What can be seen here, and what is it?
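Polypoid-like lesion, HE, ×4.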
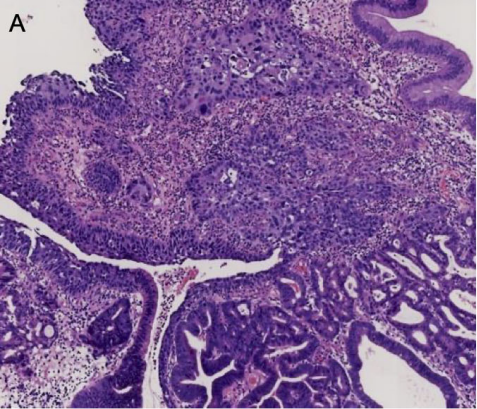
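This low-power view shows a tumor with two different faces. In the upper left, solid sheets and nests of stratified cells with pink cytoplasm form a squamous growth, while in the lower right crowded, irregular glands lined by tall dark columnar cells form a glandular growth. A strip of normal-looking columnar surface epithelium is seen at the upper right edge.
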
